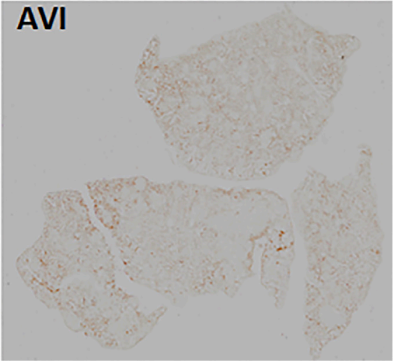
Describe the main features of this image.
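These are whole cross-sections of several lung lobes seen at low magnification, so the tissue's architecture rather than single cells can be made out. Pale background tissue is dotted with small brown-stained foci, which are most frequent toward the edges of the lower lobes. Individual cells and nuclei cannot be resolved at this scale.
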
